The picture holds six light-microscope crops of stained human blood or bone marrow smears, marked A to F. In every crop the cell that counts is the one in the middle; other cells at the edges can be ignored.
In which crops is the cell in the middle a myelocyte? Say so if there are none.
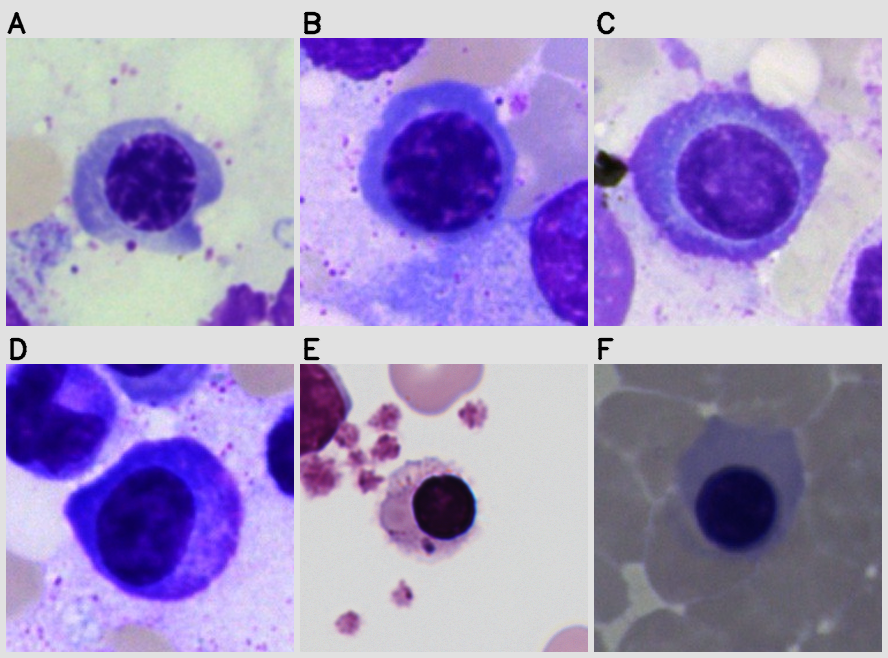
none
